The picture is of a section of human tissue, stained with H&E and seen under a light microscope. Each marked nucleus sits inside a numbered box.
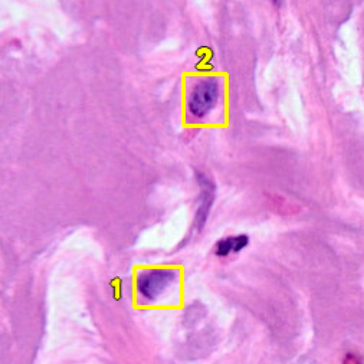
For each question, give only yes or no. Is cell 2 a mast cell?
yes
